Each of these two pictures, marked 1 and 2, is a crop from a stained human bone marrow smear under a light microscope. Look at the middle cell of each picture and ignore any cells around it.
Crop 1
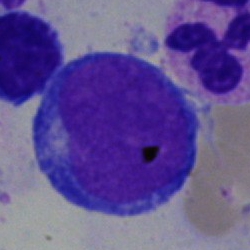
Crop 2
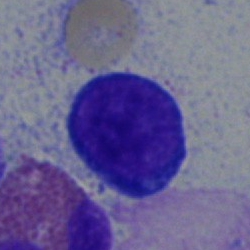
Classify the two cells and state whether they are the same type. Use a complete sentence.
Yes, it is proerythroblasts that both crops show.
